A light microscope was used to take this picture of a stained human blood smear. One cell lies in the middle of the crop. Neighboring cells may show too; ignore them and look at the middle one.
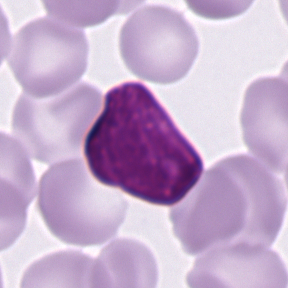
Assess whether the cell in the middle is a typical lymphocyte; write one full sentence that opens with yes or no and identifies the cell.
Yes, that is right: the middle cell is a typical lymphocyte.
